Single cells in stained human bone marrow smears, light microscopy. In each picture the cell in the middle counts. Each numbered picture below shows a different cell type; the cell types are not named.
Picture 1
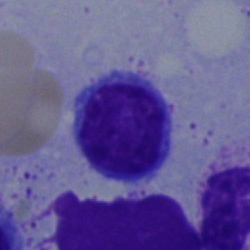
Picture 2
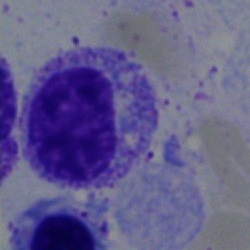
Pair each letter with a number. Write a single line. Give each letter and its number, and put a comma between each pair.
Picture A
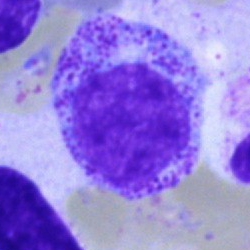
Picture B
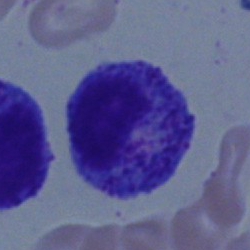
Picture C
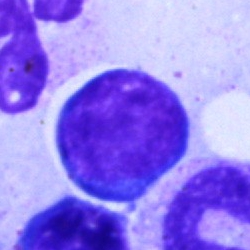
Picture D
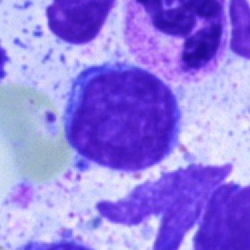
A 2, B 2, C 1, D 1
